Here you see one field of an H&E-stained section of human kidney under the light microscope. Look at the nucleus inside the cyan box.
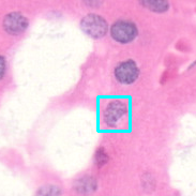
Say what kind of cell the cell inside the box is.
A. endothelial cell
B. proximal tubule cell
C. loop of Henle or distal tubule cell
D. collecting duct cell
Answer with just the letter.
C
